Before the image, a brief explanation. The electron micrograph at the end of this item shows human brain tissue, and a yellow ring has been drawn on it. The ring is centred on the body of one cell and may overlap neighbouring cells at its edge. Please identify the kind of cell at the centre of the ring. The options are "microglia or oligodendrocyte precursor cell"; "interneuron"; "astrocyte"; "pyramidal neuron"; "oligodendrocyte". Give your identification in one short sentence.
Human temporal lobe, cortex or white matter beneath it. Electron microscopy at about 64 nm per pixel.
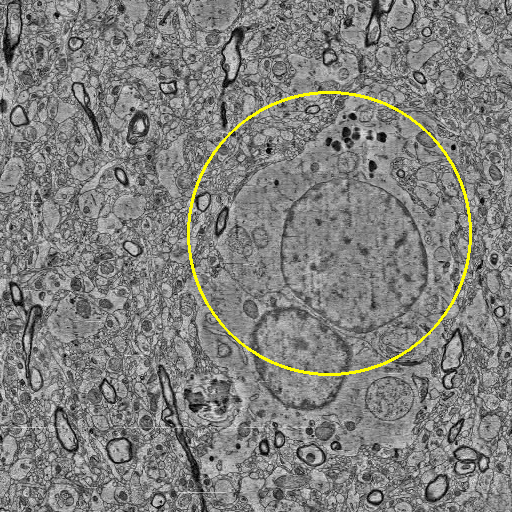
The ring has been placed around an astrocyte.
